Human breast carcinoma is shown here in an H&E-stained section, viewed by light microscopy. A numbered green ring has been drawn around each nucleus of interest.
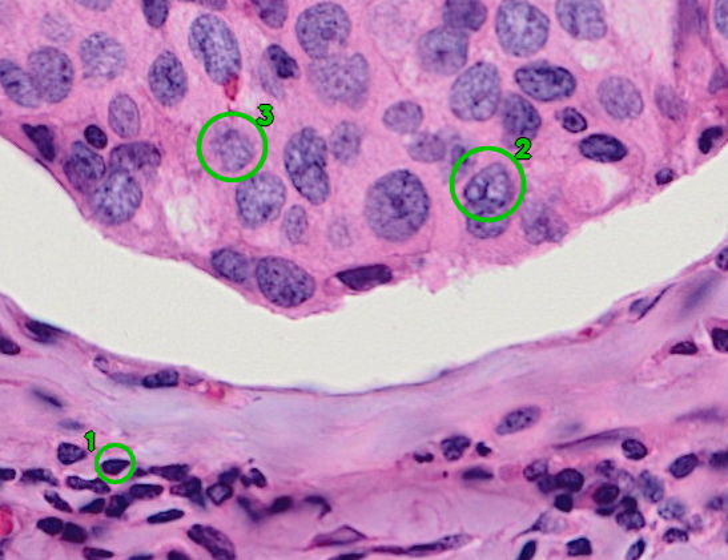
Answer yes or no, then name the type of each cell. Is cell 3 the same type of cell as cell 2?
Yes, both are carcinoma cells.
